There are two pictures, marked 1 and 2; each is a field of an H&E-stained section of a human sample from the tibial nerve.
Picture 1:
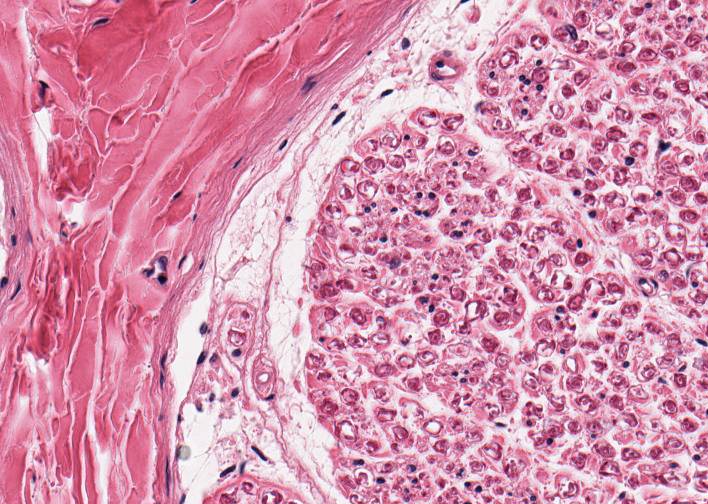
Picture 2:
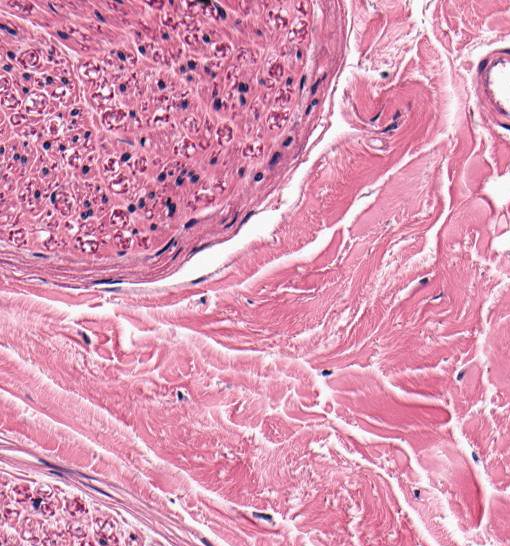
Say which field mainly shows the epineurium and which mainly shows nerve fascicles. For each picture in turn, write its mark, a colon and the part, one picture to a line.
1: nerve fascicles
2: epineurium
